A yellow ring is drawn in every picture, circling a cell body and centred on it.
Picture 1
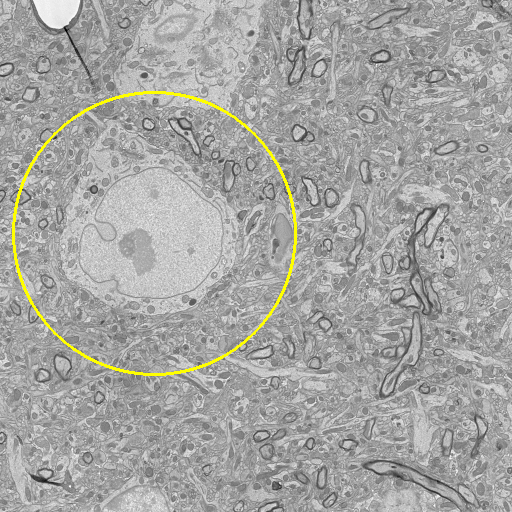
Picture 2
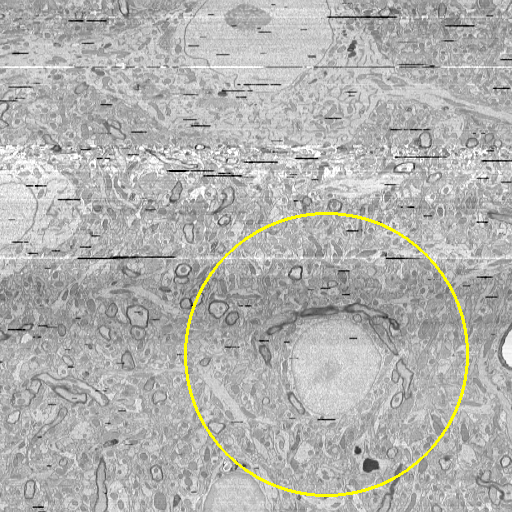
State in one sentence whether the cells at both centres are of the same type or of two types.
The cells at the two ring centres, one per picture, are of two types.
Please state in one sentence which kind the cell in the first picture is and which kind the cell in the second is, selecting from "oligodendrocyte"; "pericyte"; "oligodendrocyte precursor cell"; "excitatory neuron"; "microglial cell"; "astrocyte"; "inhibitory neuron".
The first ringed cell is an excitatory neuron, the second ringed cell an astrocyte.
